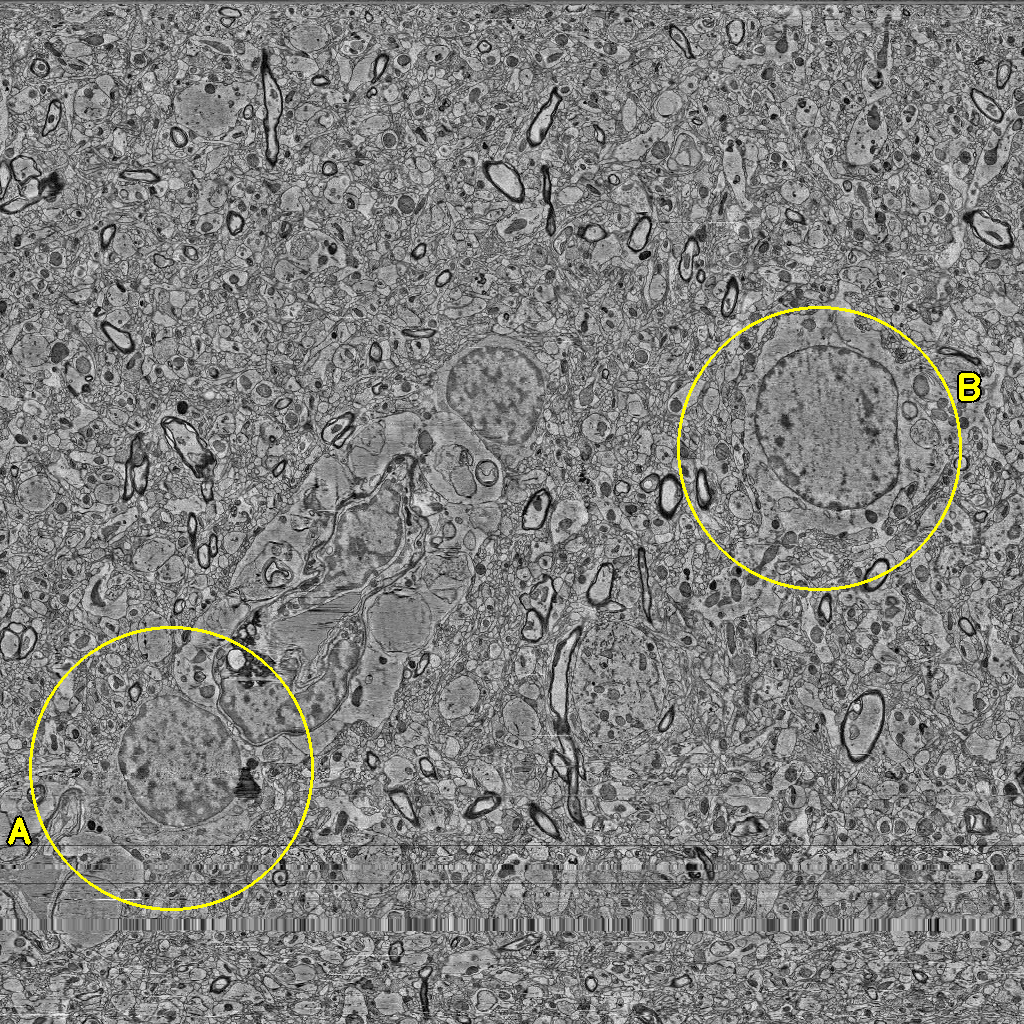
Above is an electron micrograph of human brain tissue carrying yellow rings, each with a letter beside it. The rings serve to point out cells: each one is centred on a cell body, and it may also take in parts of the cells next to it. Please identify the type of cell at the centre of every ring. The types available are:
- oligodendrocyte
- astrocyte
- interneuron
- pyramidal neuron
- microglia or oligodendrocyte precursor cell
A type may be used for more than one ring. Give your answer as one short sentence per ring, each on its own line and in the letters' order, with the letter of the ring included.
Ring A points to the cell body of an oligodendrocyte.
Ring B points to the cell body of an astrocyte.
